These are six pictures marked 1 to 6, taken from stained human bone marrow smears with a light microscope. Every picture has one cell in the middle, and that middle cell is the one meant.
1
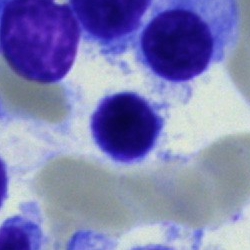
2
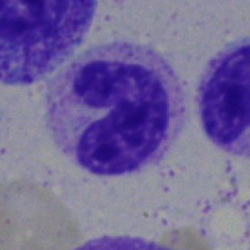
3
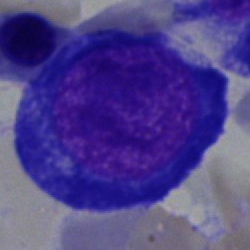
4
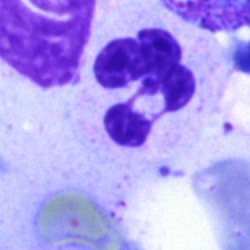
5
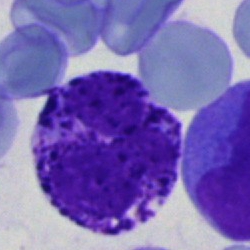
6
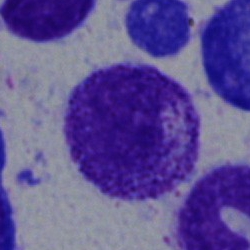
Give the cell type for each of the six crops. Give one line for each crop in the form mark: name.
1: lymphocyte
2: band neutrophil
3: proerythroblast
4: segmented neutrophil
5: basophil
6: myelocyte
